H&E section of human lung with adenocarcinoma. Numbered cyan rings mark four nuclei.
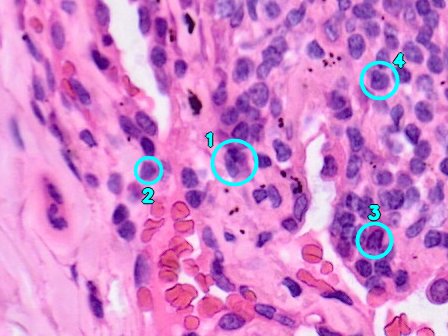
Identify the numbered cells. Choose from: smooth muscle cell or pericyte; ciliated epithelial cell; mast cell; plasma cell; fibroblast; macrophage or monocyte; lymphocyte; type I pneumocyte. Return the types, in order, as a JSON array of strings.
["lymphocyte", "lymphocyte", "plasma cell", "lymphocyte"]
